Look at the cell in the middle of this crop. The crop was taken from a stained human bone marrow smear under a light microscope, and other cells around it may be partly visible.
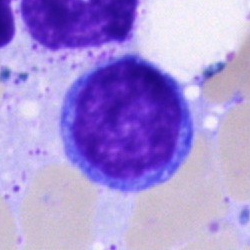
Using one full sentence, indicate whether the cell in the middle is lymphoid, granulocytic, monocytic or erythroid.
The cell in the middle belongs to the lymphoid lineage.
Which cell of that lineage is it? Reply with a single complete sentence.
As for the cell in the middle, it is a lymphocyte.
